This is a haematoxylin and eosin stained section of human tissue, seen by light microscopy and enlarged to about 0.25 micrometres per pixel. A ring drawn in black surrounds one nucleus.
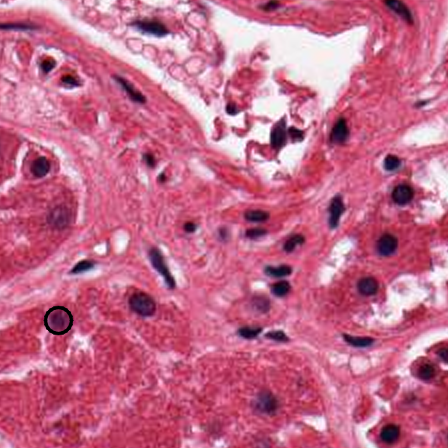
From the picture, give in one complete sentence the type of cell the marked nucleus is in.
The owner of the marked nucleus is a proximal tubule cell.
